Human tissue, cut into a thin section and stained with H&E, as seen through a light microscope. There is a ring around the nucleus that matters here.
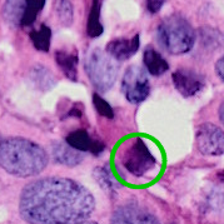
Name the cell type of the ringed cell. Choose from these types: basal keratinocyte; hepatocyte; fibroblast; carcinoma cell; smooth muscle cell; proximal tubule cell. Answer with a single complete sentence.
By cell type, the ringed cell is a carcinoma cell.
